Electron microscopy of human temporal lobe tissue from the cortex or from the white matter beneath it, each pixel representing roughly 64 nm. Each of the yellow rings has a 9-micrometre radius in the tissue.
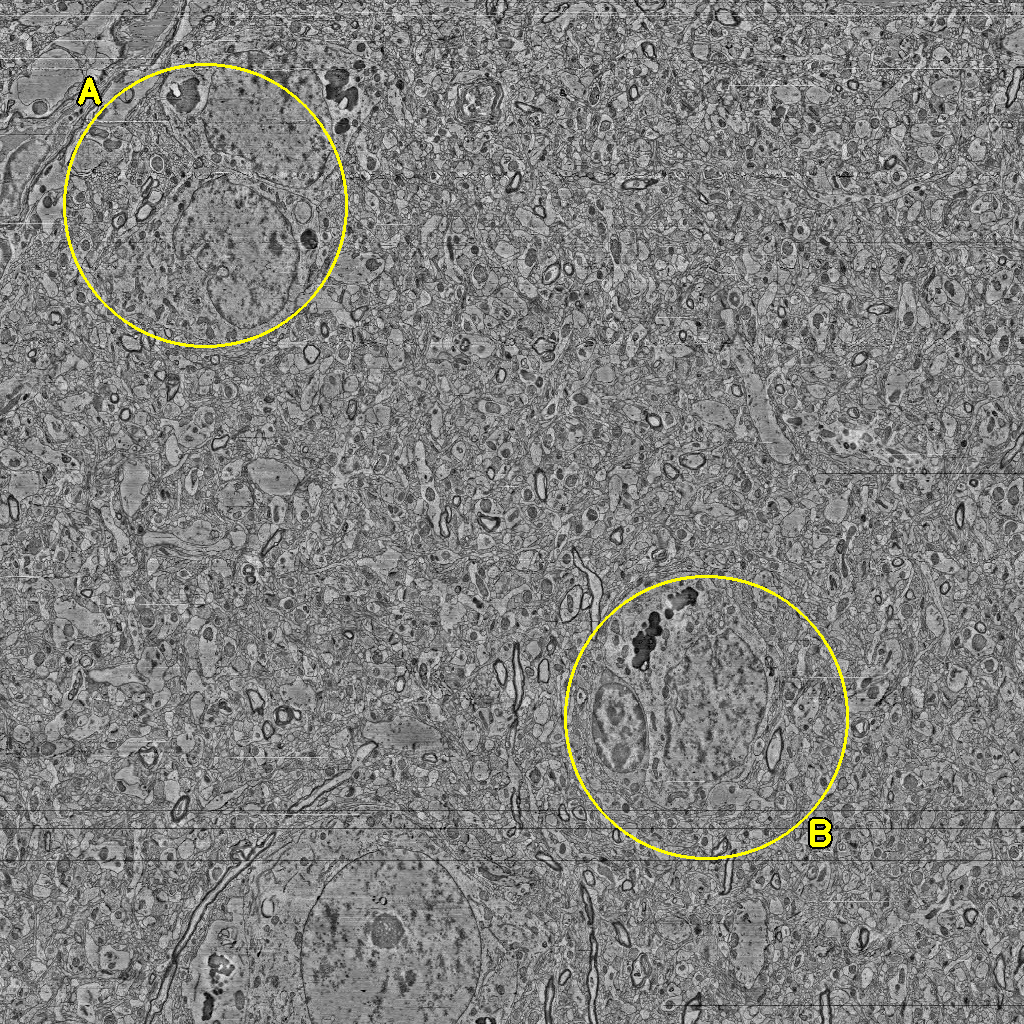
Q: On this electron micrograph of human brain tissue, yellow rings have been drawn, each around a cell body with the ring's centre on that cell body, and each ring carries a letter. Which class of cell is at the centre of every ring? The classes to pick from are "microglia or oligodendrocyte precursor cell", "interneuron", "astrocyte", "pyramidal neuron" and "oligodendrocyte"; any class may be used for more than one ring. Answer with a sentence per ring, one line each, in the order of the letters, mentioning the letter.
The centre of ring A is occupied by an interneuron.
The centre of ring B is occupied by an interneuron.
